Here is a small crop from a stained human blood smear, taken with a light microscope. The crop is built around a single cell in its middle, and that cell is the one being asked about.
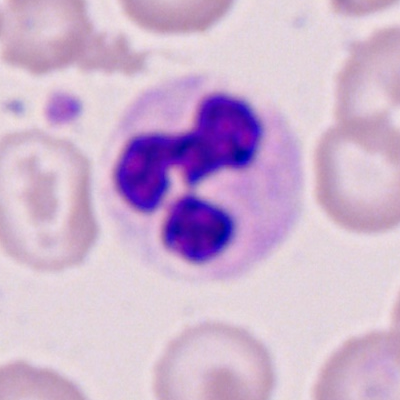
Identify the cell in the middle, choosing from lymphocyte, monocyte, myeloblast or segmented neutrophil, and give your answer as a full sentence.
Where the crop is centred, there is a segmented neutrophil.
